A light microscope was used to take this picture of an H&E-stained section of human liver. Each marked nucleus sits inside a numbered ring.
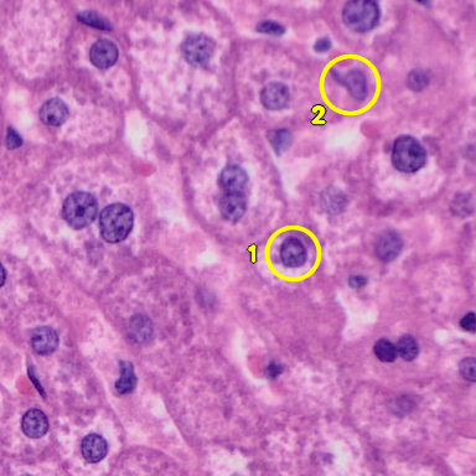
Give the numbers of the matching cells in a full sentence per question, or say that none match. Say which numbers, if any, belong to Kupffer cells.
Of the numbered nuclei, only the one labelled 2 belongs to a Kupffer cell.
